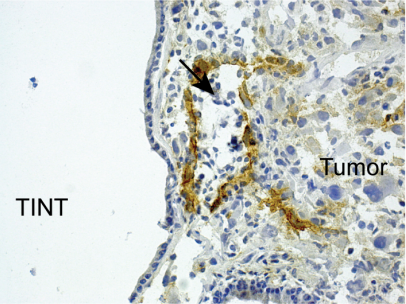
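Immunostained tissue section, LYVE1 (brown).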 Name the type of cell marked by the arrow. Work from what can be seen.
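The arrow points to small round cells with dark nuclei inside a brown-lined channel. These cells are much smaller than the tumor cells beside the channel.
Conclusion: small lymphocyte-like cells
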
